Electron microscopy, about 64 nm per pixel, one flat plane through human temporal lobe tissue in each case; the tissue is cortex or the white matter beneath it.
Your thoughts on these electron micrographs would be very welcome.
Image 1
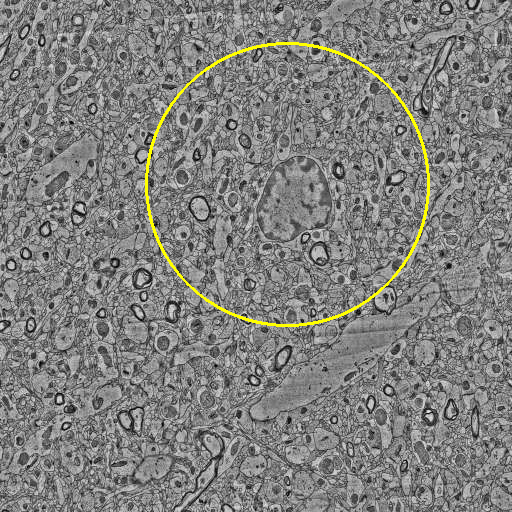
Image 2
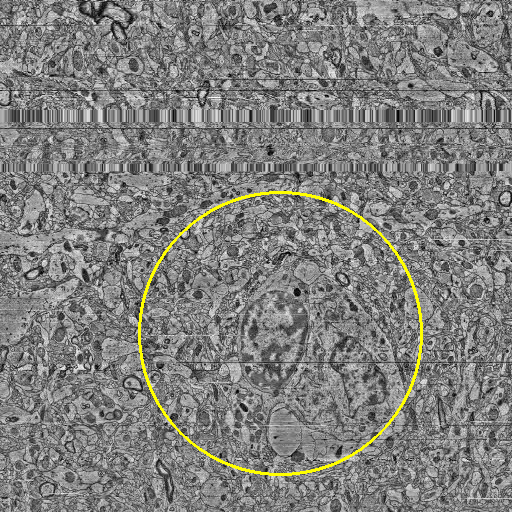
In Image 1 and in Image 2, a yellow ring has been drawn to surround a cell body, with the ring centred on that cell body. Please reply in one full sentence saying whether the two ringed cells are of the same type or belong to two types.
The ringed cells in Image 1 and Image 2 belong to two types.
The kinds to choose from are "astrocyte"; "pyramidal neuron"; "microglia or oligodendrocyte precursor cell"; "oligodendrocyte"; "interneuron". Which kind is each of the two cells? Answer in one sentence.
Of the two, the first cell is a microglial cell or oligodendrocyte precursor cell and the second cell is an oligodendrocyte.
